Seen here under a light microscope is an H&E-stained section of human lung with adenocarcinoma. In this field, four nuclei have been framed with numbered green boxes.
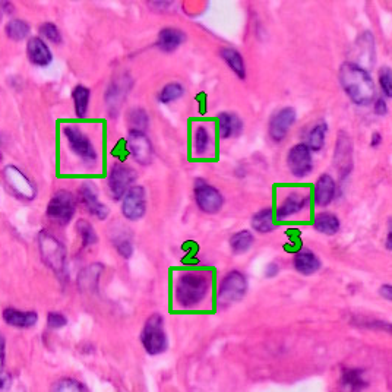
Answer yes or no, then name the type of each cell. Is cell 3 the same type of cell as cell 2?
No, cell 3 is classed as a lymphocyte and cell 2 as a plasma cell.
